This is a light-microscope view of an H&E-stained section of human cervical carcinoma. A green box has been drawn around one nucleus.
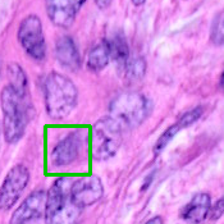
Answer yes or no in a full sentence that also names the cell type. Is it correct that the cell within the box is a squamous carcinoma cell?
Yes, in this section the cell within the box is a squamous carcinoma cell.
